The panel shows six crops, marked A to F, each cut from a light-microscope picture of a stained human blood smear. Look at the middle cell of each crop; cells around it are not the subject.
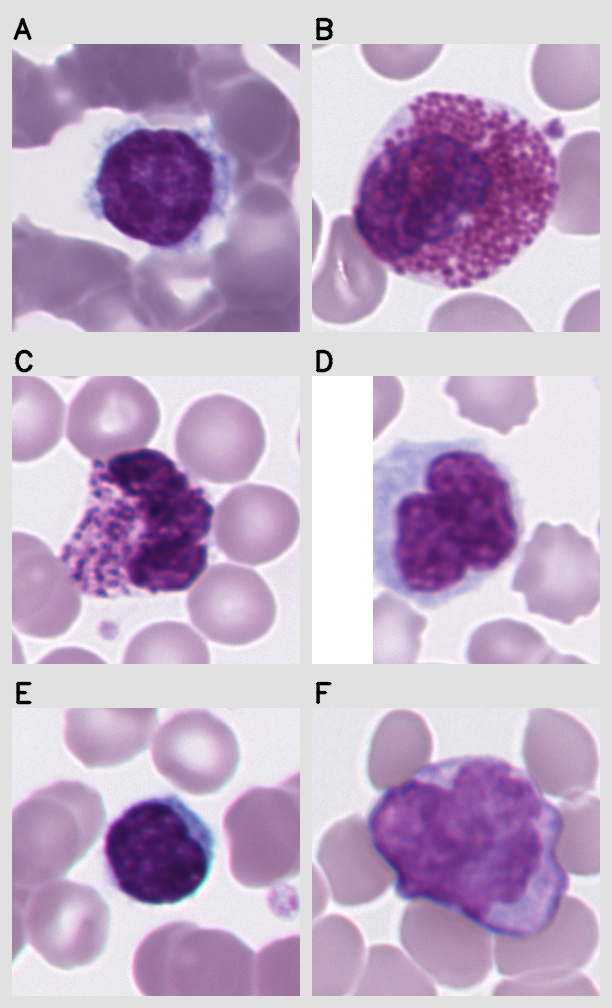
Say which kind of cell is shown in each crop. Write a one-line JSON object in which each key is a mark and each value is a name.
{"A": "hairy cell", "B": "eosinophil", "C": "basophil", "D": "hairy cell", "E": "typical lymphocyte", "F": "atypical promyelocyte"}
